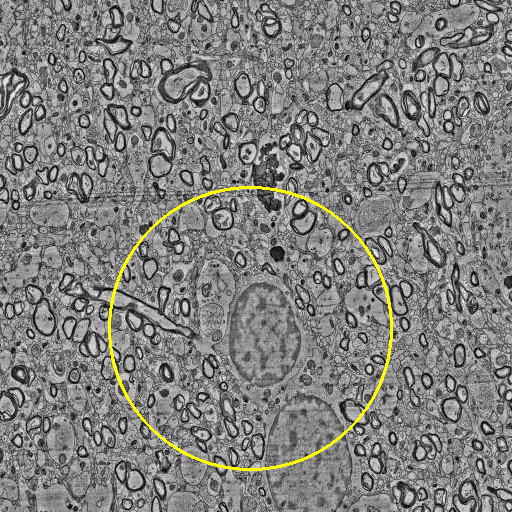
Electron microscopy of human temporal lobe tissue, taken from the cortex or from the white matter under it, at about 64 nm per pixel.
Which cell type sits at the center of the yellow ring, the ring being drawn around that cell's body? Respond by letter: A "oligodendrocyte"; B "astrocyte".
A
